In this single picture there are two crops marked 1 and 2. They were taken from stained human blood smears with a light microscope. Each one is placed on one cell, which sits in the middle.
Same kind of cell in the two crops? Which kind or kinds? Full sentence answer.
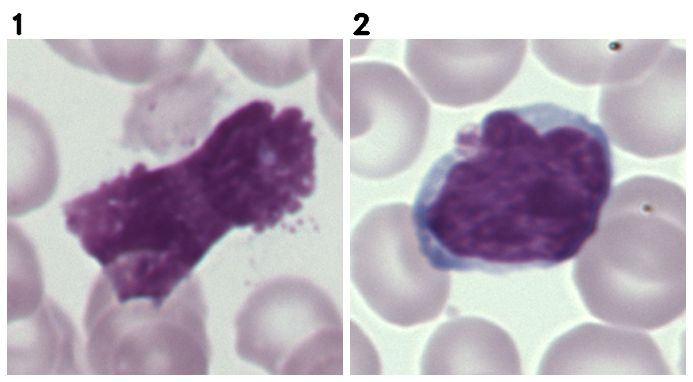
No, crop 1 is to be identified as a smudge cell and crop 2 as a typical lymphocyte.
